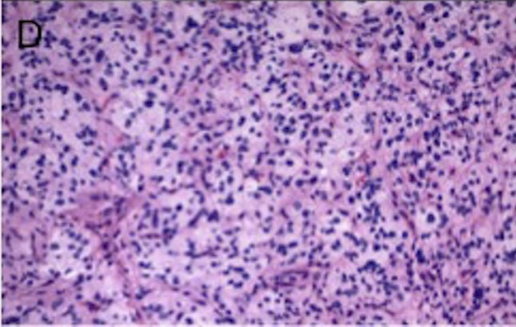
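Cellular tumor tissue of polygonal cells is seen at medium magnification, arranged in broad sheets. Numerous small, round, dark purple nuclei are scattered fairly evenly across the field, each set in pale pink cytoplasm. Thin pink strands run between groups of cells, dividing the sheets into irregular clusters. The nuclei are of broadly similar size, with only mild variation. No glandular spaces or distinct layers are formed; the tissue appears as a uniform, densely populated expanse of cells.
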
